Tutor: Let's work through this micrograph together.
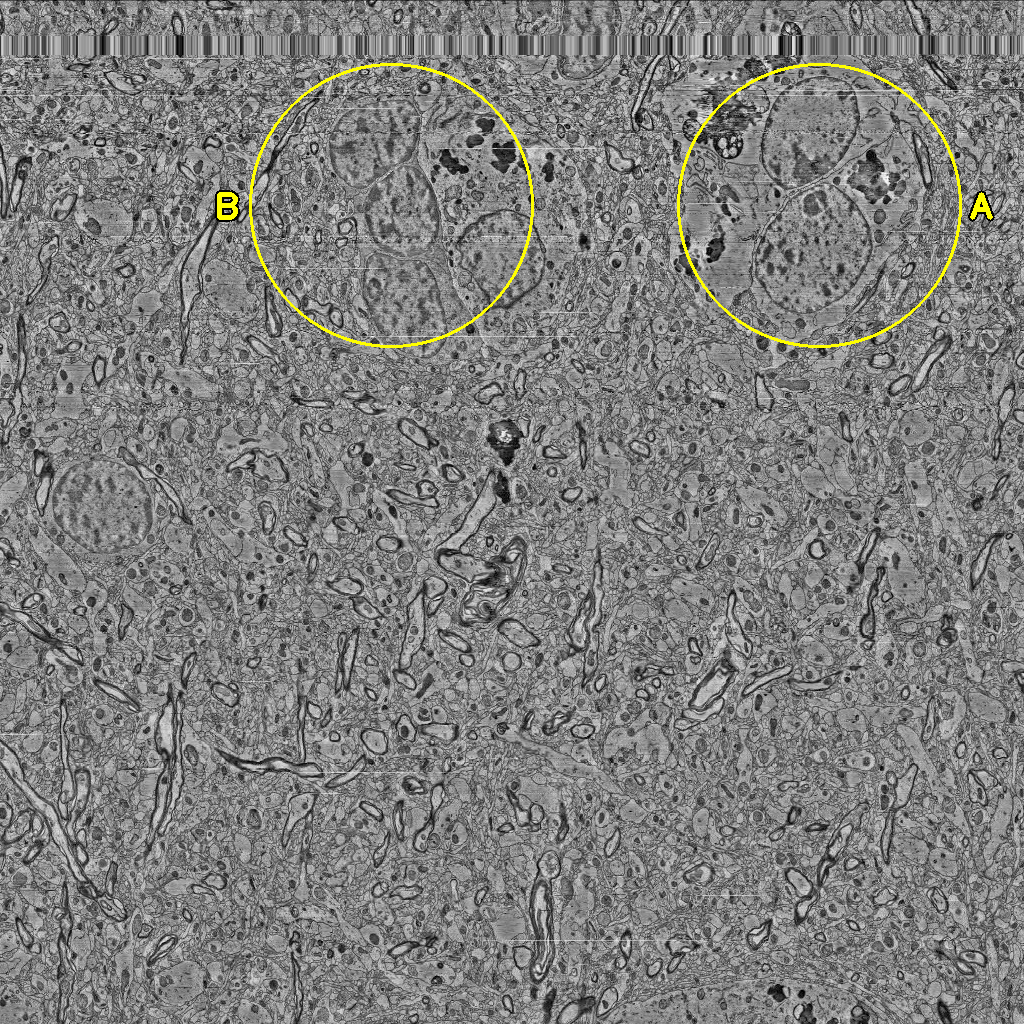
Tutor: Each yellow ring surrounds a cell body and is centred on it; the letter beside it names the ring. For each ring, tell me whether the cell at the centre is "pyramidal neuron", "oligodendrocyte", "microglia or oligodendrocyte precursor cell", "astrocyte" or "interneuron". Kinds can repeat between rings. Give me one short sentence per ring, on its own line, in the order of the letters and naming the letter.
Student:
The ring labelled A is centred on an astrocyte.
The ring labelled B is centred on an oligodendrocyte.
